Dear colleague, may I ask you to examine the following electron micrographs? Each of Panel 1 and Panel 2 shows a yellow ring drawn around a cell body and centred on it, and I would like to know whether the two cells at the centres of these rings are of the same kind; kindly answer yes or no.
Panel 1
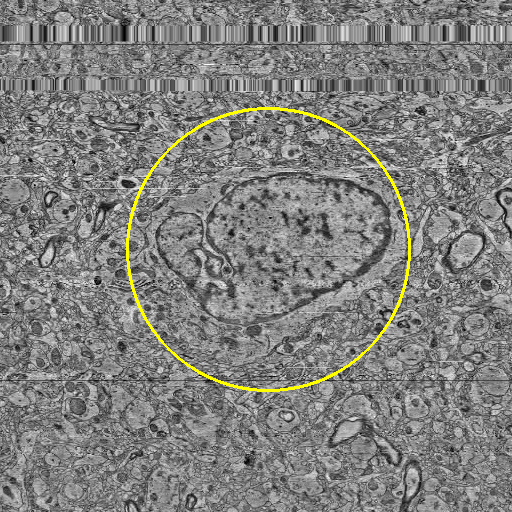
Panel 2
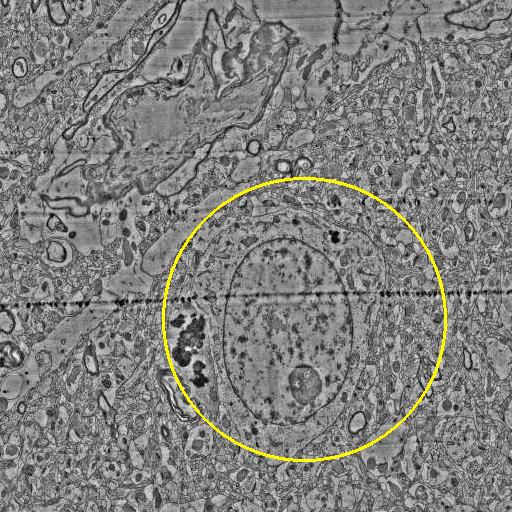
no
